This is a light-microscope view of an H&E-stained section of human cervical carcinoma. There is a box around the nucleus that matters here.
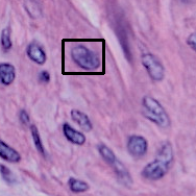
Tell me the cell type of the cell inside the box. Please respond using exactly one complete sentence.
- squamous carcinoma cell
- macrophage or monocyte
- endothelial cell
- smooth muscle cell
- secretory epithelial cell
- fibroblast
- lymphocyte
Assigned to a cell type, the cell inside the box is a smooth muscle cell.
